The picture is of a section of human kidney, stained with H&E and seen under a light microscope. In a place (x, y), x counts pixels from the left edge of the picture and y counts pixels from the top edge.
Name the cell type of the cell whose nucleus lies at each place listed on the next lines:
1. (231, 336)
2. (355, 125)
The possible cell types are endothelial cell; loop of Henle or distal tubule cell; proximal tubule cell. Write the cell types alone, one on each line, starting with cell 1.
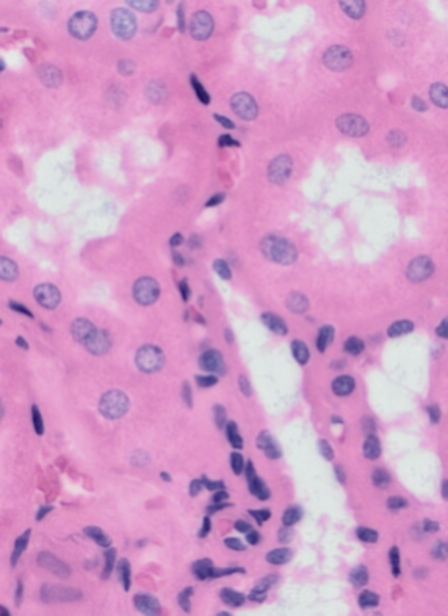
loop of Henle or distal tubule cell
proximal tubule cell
